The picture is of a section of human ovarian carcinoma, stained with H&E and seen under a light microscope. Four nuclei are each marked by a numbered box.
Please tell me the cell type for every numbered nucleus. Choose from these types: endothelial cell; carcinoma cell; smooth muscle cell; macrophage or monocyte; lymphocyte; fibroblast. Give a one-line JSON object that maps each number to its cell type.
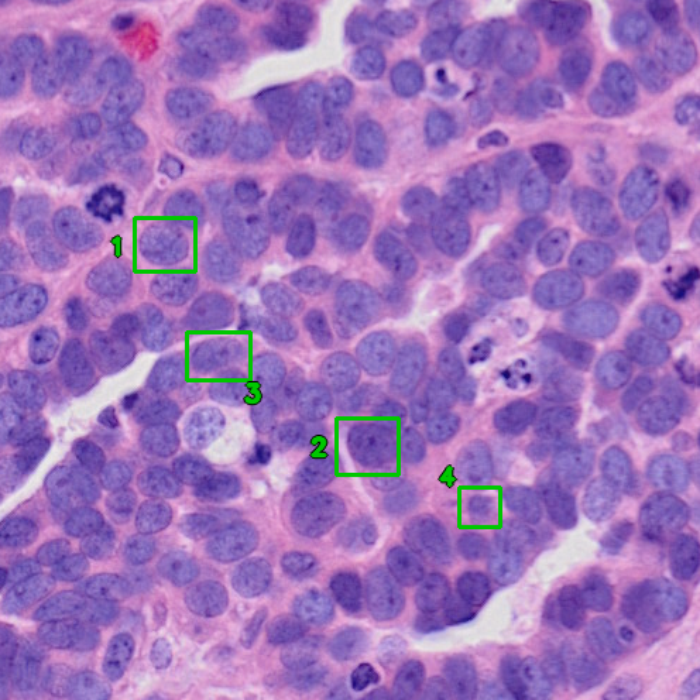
{"1": "carcinoma cell", "2": "carcinoma cell", "3": "carcinoma cell", "4": "macrophage or monocyte"}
